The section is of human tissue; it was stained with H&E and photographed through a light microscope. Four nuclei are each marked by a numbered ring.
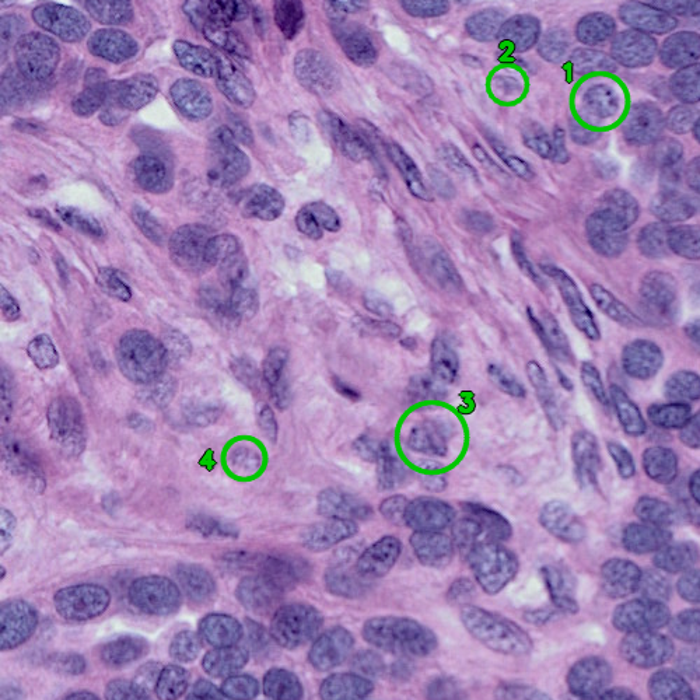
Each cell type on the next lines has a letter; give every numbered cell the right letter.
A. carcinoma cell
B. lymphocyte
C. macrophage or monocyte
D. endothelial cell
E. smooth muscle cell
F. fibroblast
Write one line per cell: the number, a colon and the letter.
1: C
2: F
3: F
4: F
